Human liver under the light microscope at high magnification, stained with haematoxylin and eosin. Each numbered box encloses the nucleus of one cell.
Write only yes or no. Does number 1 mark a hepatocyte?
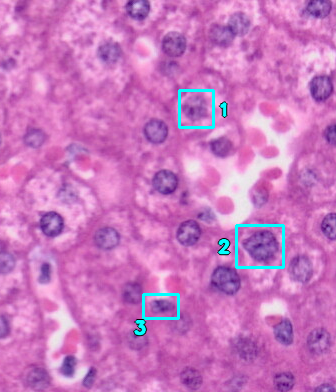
yes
